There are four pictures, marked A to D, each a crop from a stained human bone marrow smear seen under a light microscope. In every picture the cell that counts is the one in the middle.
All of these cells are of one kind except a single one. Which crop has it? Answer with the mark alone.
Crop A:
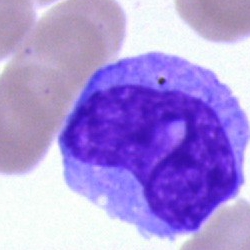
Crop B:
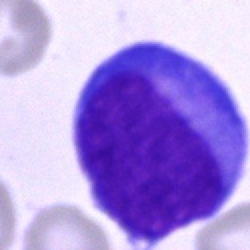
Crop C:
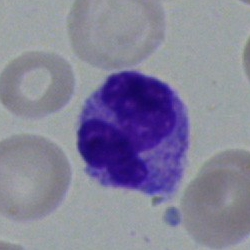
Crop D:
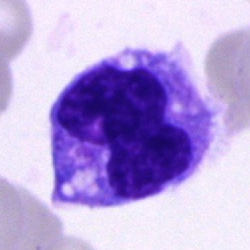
B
